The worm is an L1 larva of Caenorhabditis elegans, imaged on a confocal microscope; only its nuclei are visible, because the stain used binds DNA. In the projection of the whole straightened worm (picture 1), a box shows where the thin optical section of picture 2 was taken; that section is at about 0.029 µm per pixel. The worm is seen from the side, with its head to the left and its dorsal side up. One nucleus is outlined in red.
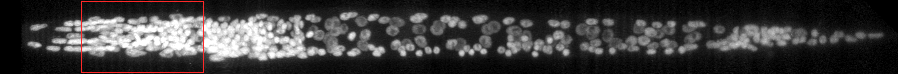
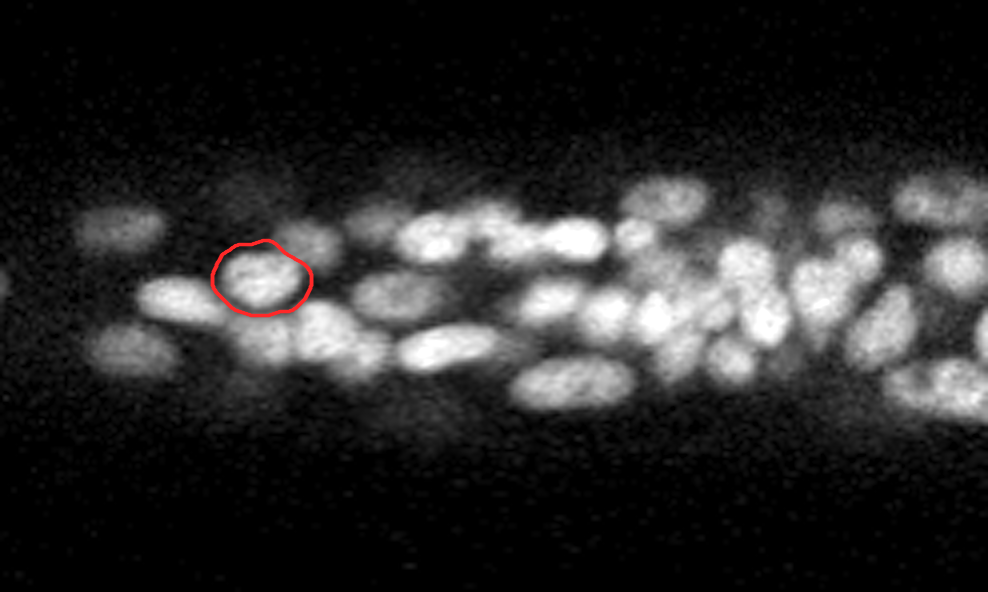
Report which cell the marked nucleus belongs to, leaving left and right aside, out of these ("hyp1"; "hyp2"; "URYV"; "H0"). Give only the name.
hyp2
